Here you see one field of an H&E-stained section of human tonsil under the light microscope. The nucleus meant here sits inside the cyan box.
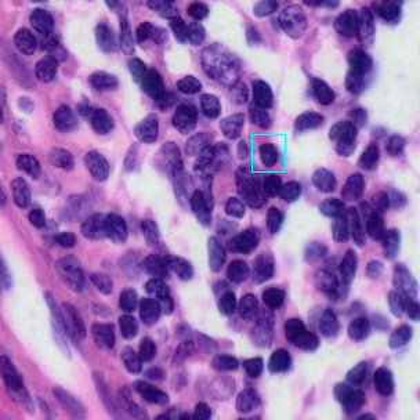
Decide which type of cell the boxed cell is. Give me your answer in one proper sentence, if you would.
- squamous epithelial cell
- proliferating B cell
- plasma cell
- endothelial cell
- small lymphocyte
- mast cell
Within the stained tissue, the boxed cell is a small lymphocyte.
